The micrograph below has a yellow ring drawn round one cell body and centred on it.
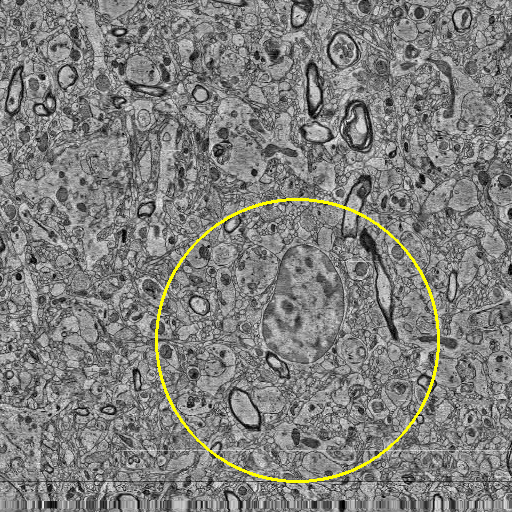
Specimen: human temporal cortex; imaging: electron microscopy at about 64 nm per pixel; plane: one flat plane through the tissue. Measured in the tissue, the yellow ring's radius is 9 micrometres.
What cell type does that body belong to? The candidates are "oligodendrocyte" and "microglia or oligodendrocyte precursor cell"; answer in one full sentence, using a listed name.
This is a microglial cell or oligodendrocyte precursor cell, the cell whose body lies at the centre of the ring.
